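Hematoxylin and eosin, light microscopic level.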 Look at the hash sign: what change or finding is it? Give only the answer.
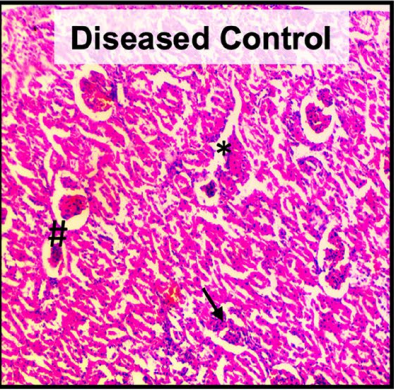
degeneration of glomerular and congestion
